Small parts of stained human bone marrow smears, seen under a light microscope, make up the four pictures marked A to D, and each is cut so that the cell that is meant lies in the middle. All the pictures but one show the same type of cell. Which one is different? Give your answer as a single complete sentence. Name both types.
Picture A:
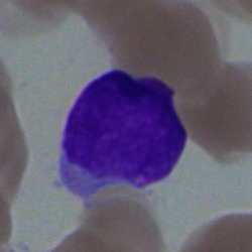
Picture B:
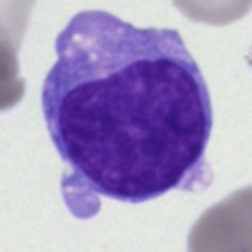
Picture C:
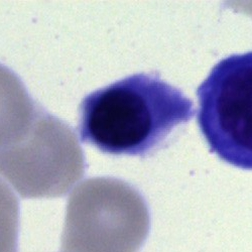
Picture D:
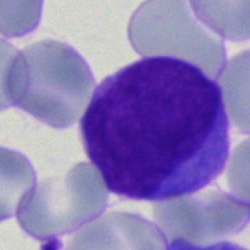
Unlike the rest, which show blasts, picture C shows an erythroblast.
